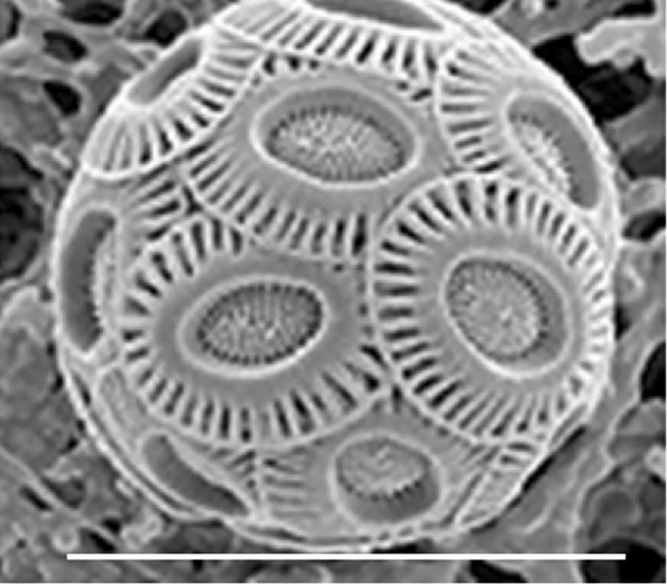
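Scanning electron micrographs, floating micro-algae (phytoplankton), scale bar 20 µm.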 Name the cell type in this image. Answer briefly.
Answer: Coccolithophore.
